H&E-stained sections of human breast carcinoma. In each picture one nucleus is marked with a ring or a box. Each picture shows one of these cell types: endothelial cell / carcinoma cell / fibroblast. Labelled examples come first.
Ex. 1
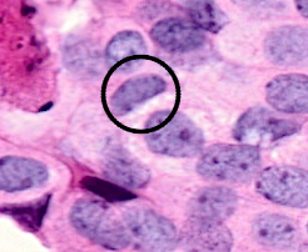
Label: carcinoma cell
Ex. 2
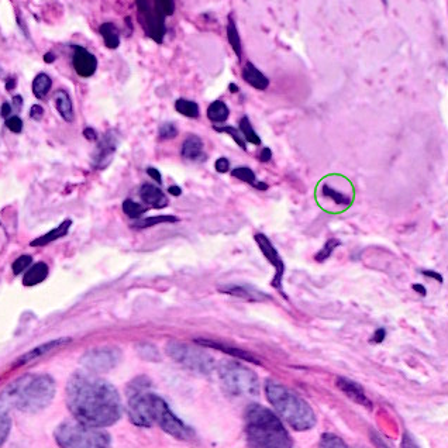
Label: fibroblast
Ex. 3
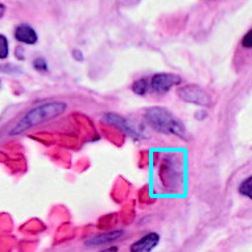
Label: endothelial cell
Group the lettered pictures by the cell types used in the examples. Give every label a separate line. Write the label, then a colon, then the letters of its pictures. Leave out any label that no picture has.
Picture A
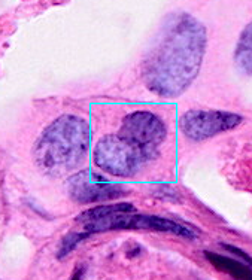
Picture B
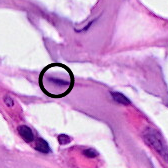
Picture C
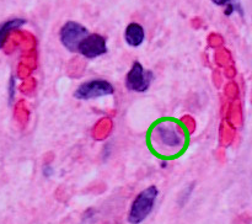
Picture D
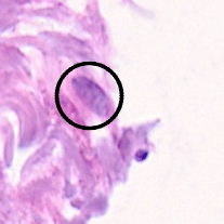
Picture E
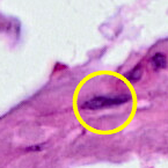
endothelial cell: C
carcinoma cell: A
fibroblast: B, D, E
